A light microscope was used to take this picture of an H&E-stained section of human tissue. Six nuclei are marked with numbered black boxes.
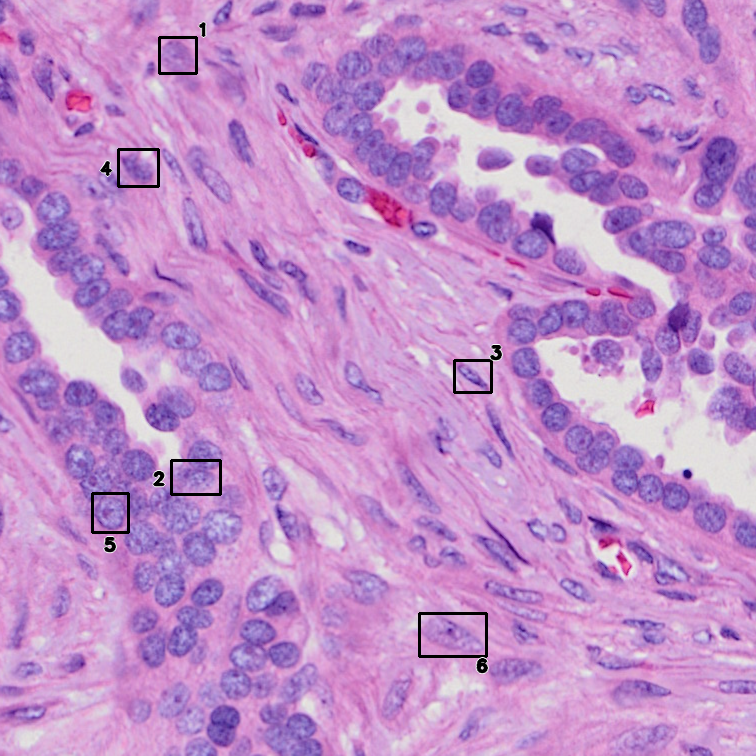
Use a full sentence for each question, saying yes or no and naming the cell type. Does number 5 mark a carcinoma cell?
Yes, with respect to number 5, the cell is a carcinoma cell.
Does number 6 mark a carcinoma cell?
No, number 6 marks a fibroblast rather than a carcinoma cell.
